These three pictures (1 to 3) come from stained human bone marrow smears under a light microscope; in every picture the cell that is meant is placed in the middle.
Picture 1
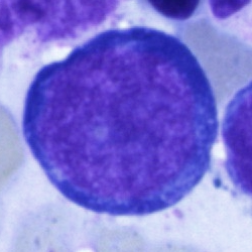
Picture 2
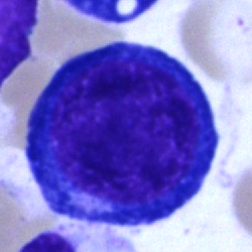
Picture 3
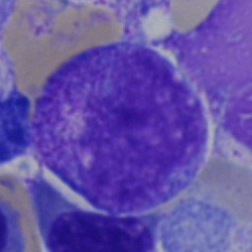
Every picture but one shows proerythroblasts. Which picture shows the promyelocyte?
3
